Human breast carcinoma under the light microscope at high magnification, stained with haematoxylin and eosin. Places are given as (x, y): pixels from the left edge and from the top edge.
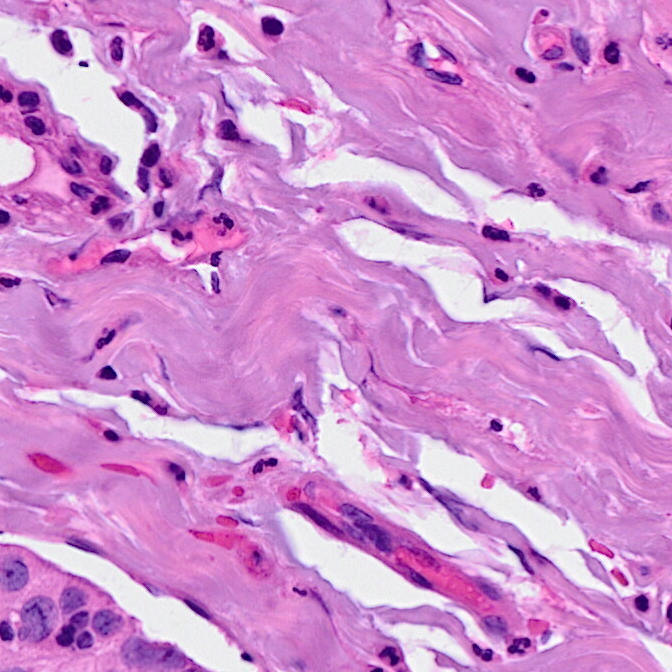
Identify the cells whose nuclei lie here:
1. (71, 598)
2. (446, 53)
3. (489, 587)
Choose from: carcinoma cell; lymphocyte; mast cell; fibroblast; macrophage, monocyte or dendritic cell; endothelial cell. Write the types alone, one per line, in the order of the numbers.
carcinoma cell
endothelial cell
endothelial cell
